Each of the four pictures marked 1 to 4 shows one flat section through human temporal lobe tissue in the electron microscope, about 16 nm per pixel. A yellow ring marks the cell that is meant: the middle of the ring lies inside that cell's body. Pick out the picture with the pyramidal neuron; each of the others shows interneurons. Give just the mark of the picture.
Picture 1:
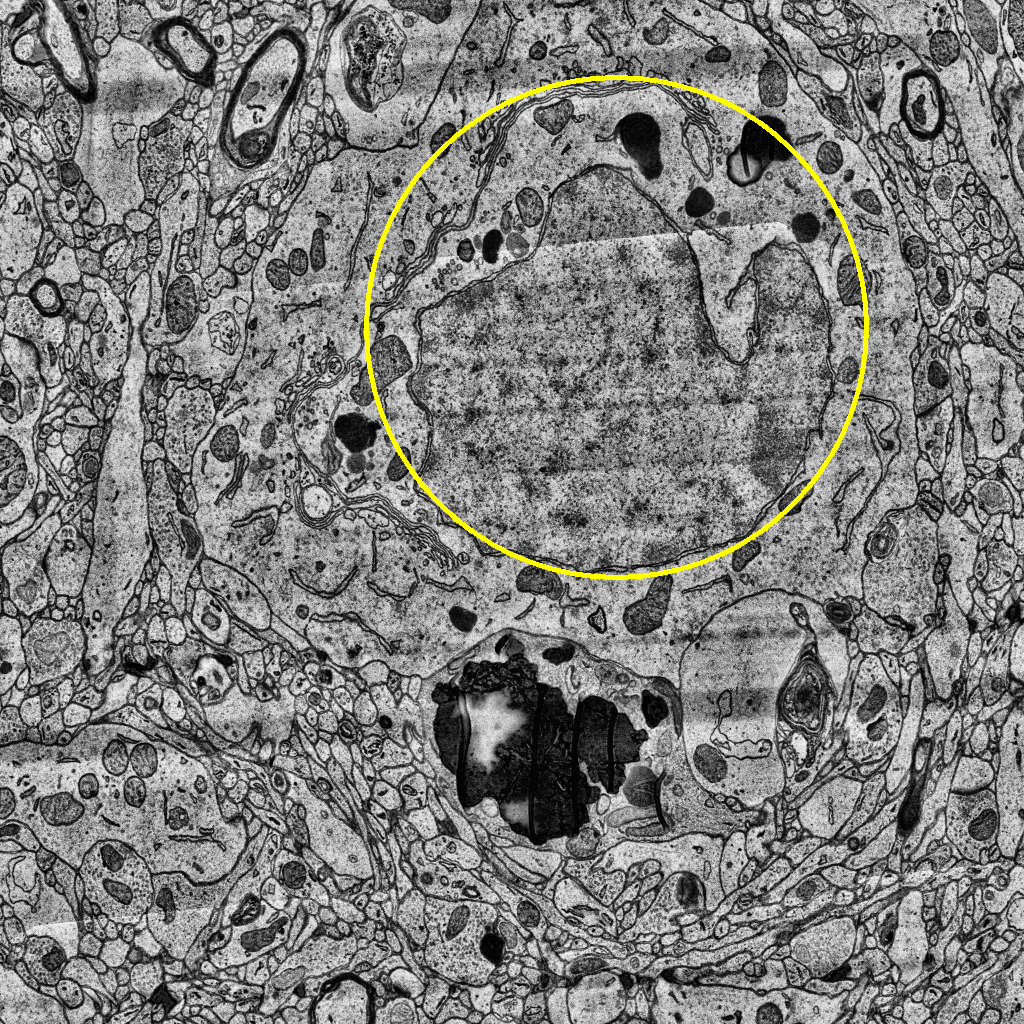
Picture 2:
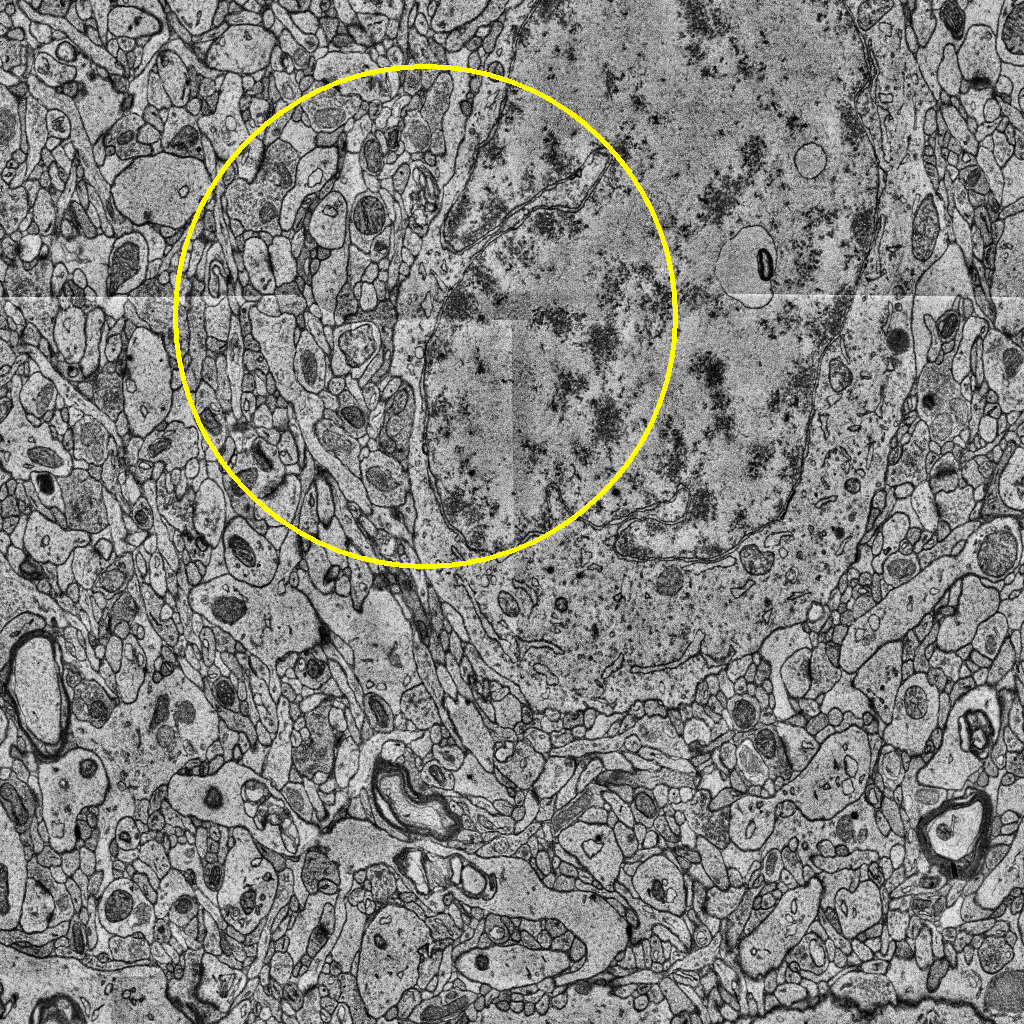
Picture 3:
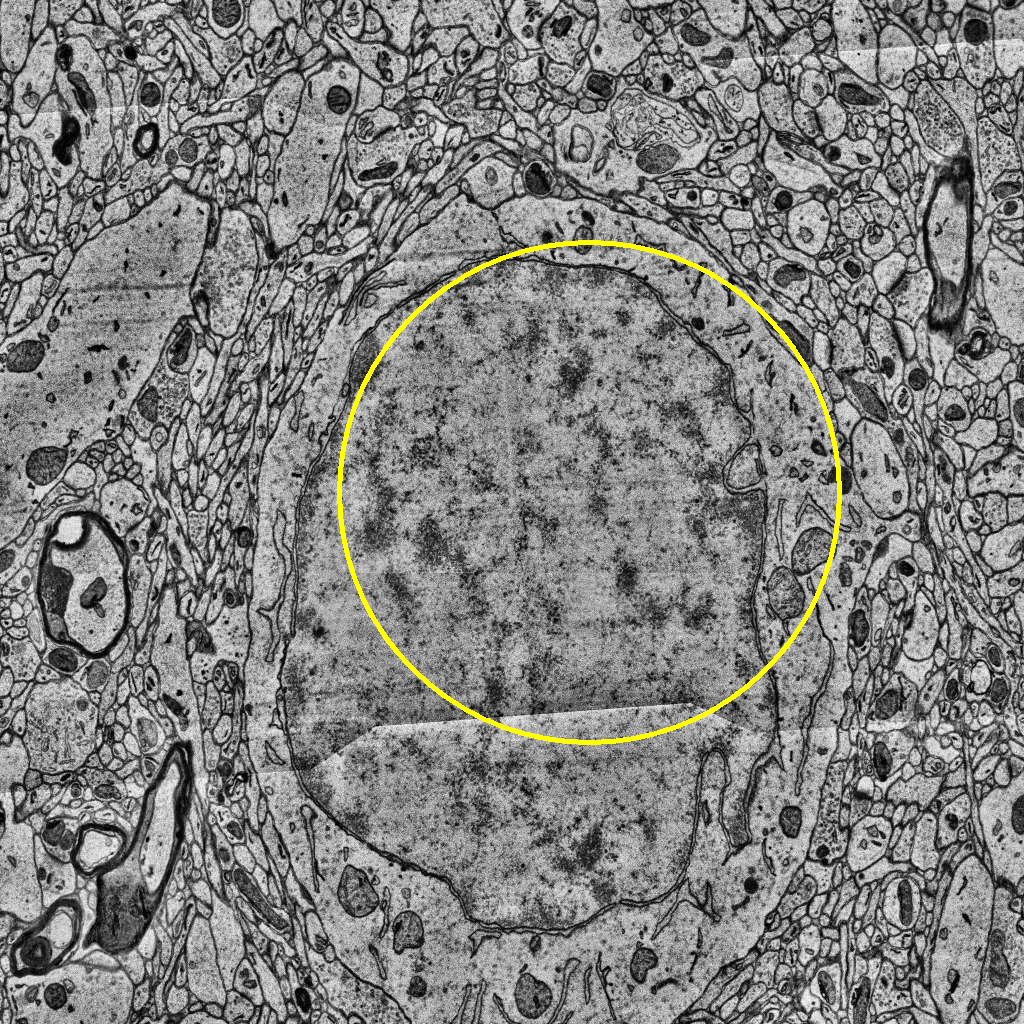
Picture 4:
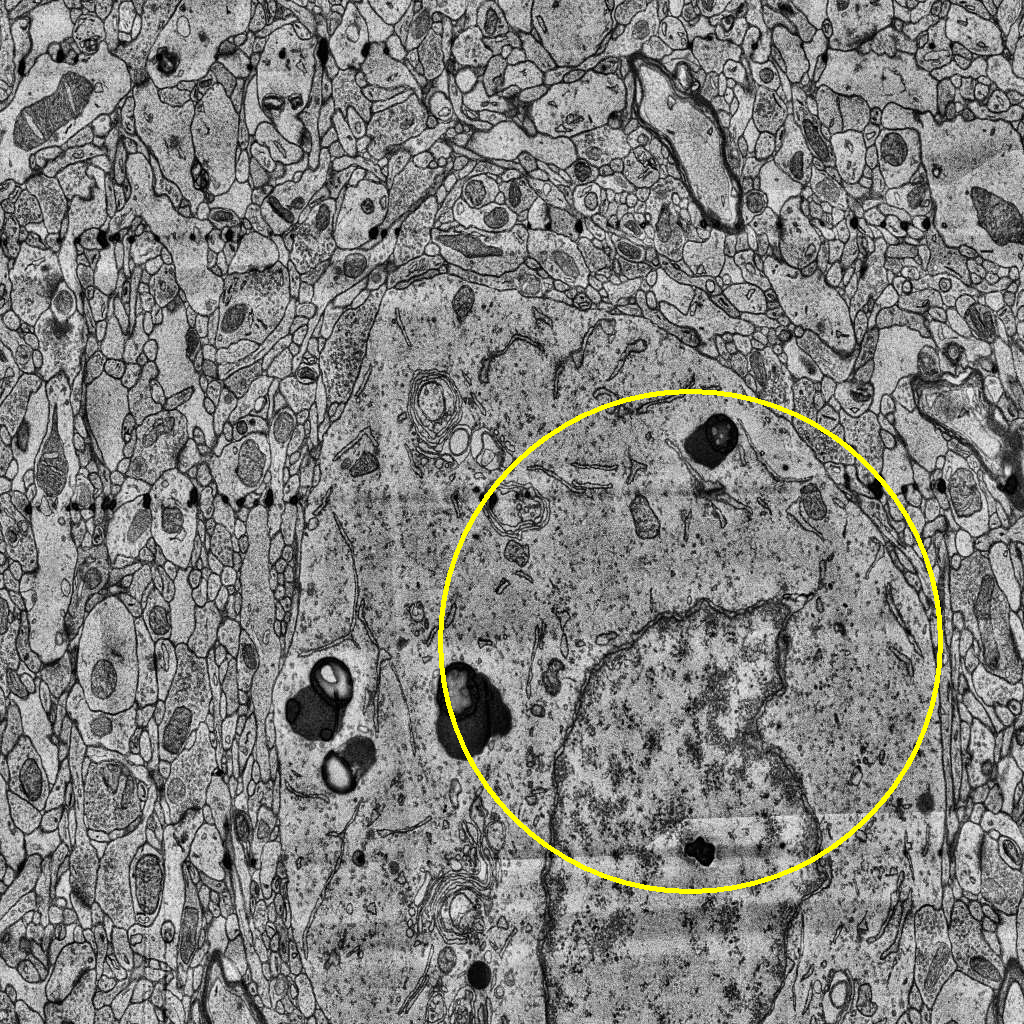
4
